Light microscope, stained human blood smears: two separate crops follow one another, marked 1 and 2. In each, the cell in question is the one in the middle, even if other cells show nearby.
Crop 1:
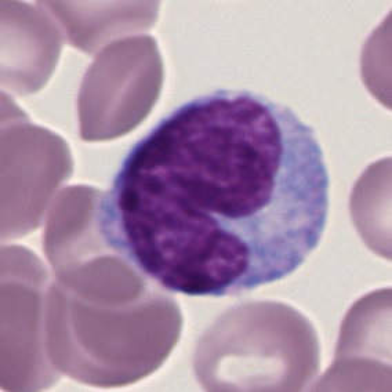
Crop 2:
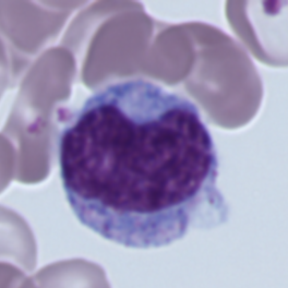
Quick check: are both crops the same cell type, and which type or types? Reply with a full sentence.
Yes, both crops depict monocytes at the centre.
